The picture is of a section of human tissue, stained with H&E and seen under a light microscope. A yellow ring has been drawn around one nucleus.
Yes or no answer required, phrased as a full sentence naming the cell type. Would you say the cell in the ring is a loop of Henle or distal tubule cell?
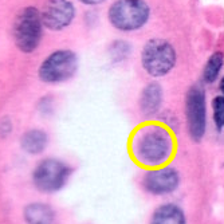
No, the cell in the ring is not a loop of Henle or distal tubule cell; the correct answer is a collecting duct cell.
